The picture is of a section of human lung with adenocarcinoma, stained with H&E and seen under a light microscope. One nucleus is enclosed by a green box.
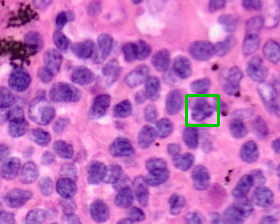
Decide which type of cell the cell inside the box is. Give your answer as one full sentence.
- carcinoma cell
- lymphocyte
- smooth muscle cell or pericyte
In this section of tissue, the cell inside the box is a lymphocyte.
